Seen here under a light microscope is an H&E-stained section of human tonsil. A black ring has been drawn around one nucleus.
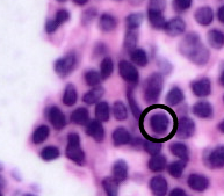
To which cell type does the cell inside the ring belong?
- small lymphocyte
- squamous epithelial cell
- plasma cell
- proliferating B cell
small lymphocyte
